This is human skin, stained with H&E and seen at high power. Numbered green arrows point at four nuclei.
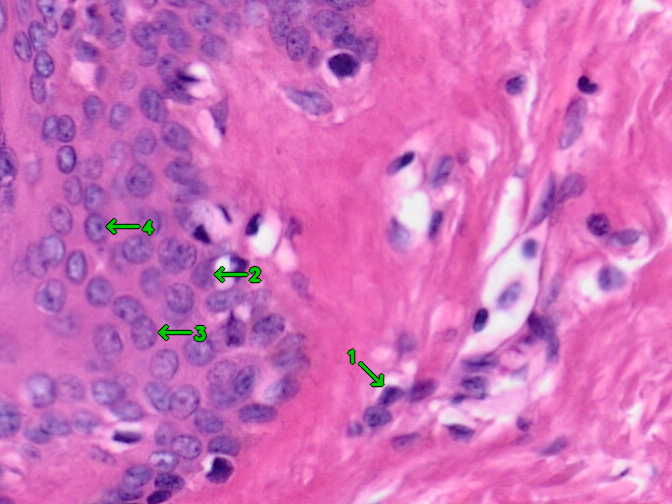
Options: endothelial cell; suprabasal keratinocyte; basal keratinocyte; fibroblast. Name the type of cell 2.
basal keratinocyte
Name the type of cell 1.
endothelial cell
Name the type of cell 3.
suprabasal keratinocyte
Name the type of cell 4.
suprabasal keratinocyte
